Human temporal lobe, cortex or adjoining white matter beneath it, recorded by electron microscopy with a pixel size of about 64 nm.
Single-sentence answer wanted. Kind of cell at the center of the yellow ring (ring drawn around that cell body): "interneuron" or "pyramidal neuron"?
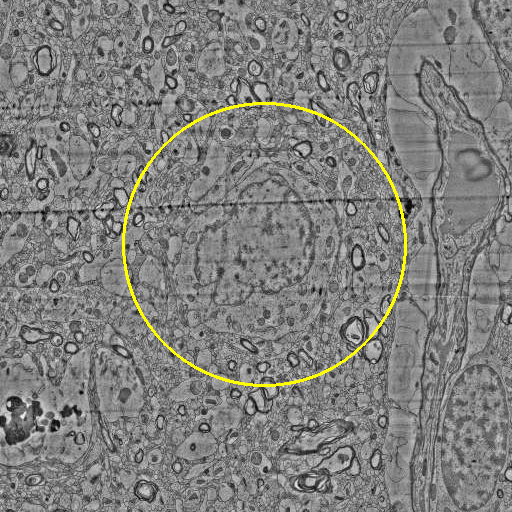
The cell centered in the ring is an interneuron.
